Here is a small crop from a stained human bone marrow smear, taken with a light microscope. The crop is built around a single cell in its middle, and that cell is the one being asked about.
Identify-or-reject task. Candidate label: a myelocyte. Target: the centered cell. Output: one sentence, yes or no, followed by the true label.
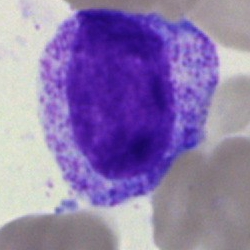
Yes, the cell shown in the middle is a myelocyte.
